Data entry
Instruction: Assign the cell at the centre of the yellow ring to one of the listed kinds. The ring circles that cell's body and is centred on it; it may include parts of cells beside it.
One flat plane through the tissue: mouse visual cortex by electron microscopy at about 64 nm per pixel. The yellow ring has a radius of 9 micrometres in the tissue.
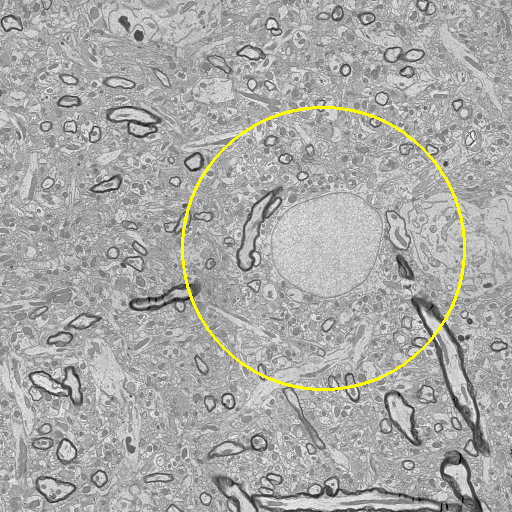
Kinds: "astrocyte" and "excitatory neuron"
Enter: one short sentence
The centre of the ring falls on an astrocyte.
